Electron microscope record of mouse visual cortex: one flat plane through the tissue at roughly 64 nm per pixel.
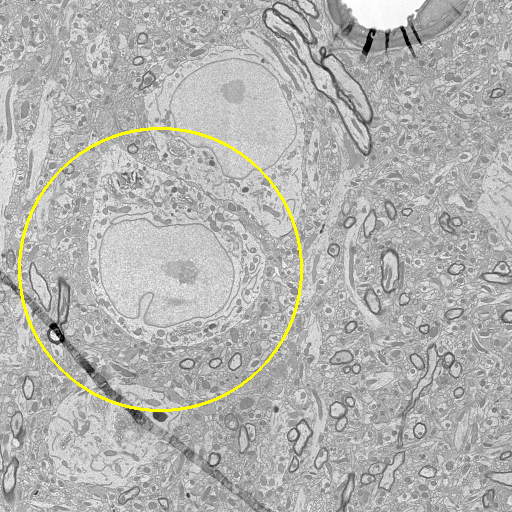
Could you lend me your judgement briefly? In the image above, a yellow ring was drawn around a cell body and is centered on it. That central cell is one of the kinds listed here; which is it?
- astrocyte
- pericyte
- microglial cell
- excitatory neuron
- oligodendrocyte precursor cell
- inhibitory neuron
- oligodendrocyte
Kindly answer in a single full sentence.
Going by the list, an inhibitory neuron is the kind at the ring's center in the picture.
